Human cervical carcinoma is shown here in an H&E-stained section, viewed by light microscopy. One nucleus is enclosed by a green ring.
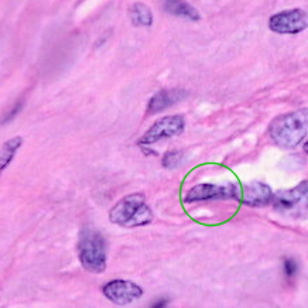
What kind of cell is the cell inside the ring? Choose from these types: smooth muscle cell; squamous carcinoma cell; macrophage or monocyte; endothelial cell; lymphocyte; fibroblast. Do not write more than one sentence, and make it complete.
Cell type answer for this item: the cell inside the ring is an endothelial cell.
